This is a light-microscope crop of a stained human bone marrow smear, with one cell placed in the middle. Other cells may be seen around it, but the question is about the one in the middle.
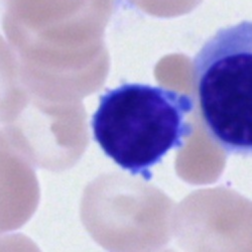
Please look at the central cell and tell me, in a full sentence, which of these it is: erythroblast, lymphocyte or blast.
In the center of this field lies a lymphocyte.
